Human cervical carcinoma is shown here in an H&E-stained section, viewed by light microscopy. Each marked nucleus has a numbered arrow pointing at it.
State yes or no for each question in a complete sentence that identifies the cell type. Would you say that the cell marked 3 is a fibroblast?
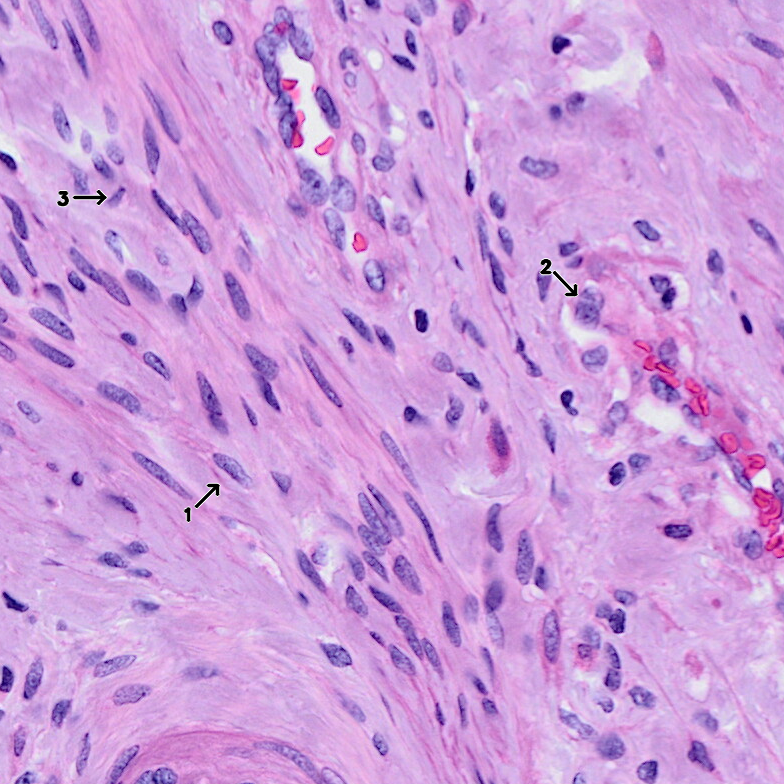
Yes, cell number 3 is classified as a fibroblast.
